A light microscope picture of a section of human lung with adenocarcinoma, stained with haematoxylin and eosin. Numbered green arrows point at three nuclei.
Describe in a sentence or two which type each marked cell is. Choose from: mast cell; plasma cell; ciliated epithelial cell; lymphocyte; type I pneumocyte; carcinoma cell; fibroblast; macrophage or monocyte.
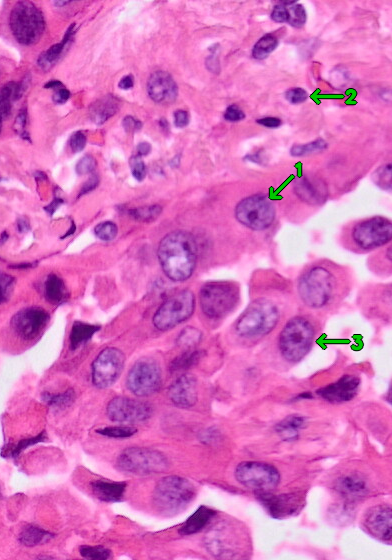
Cells 1 and 3 are carcinoma cells. Cell 2 is a lymphocyte.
